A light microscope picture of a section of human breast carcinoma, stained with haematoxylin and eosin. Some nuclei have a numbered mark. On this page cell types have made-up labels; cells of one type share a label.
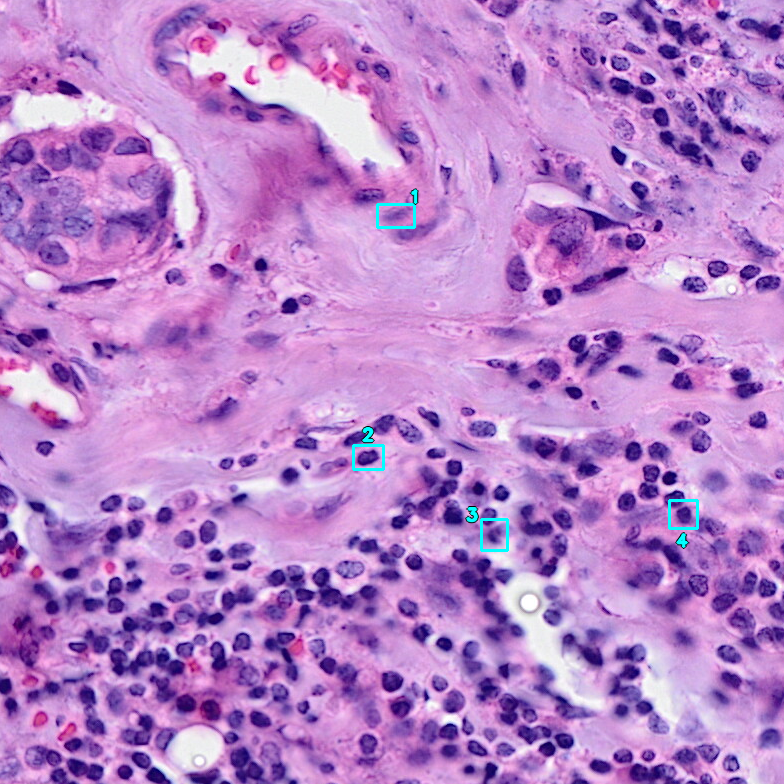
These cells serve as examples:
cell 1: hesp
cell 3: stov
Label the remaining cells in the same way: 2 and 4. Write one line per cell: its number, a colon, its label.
2: stov
4: stov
